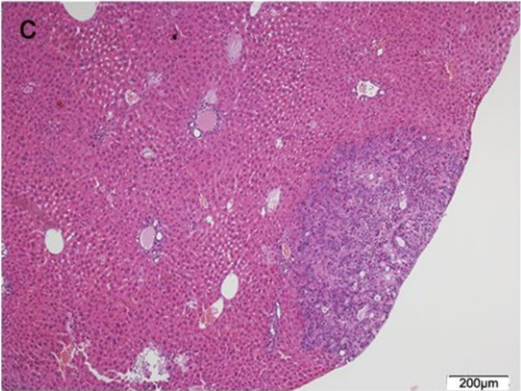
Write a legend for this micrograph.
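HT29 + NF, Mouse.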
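Liver tissue with a metastasis at its lower right edge. Most of the field is pink parenchyma of hepatocytes in plates, interrupted by small round vessels and clear spaces. At the edge, a sharply bounded purple area stands out. It is much more cellular and is packed with crowded, dark nuclei and little pink cytoplasm. In that area it takes the place of the orderly hepatocyte plates. This basophilic cluster of tumour cells contrasts clearly with the paler, regular liver around it.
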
